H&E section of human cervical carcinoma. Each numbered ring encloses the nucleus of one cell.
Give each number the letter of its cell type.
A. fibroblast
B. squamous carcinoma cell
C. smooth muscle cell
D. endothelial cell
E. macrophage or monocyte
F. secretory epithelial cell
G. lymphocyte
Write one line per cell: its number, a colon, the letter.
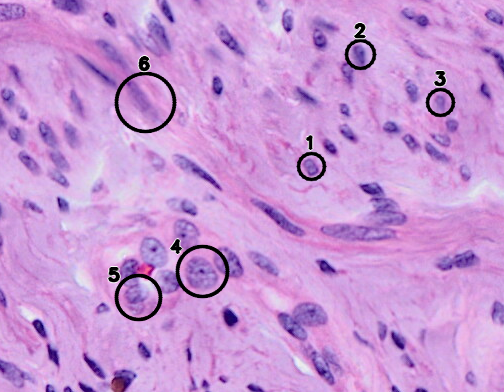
1: C
2: A
3: C
4: D
5: D
6: C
